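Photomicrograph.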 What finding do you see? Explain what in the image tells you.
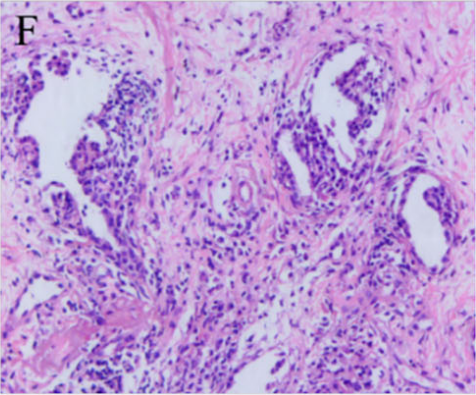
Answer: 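Chronic inflammatory cell infiltration. Many small cells with round, dark purple nuclei are crowded in the tissue. These cells cluster densely around and within spaces lined by cells.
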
